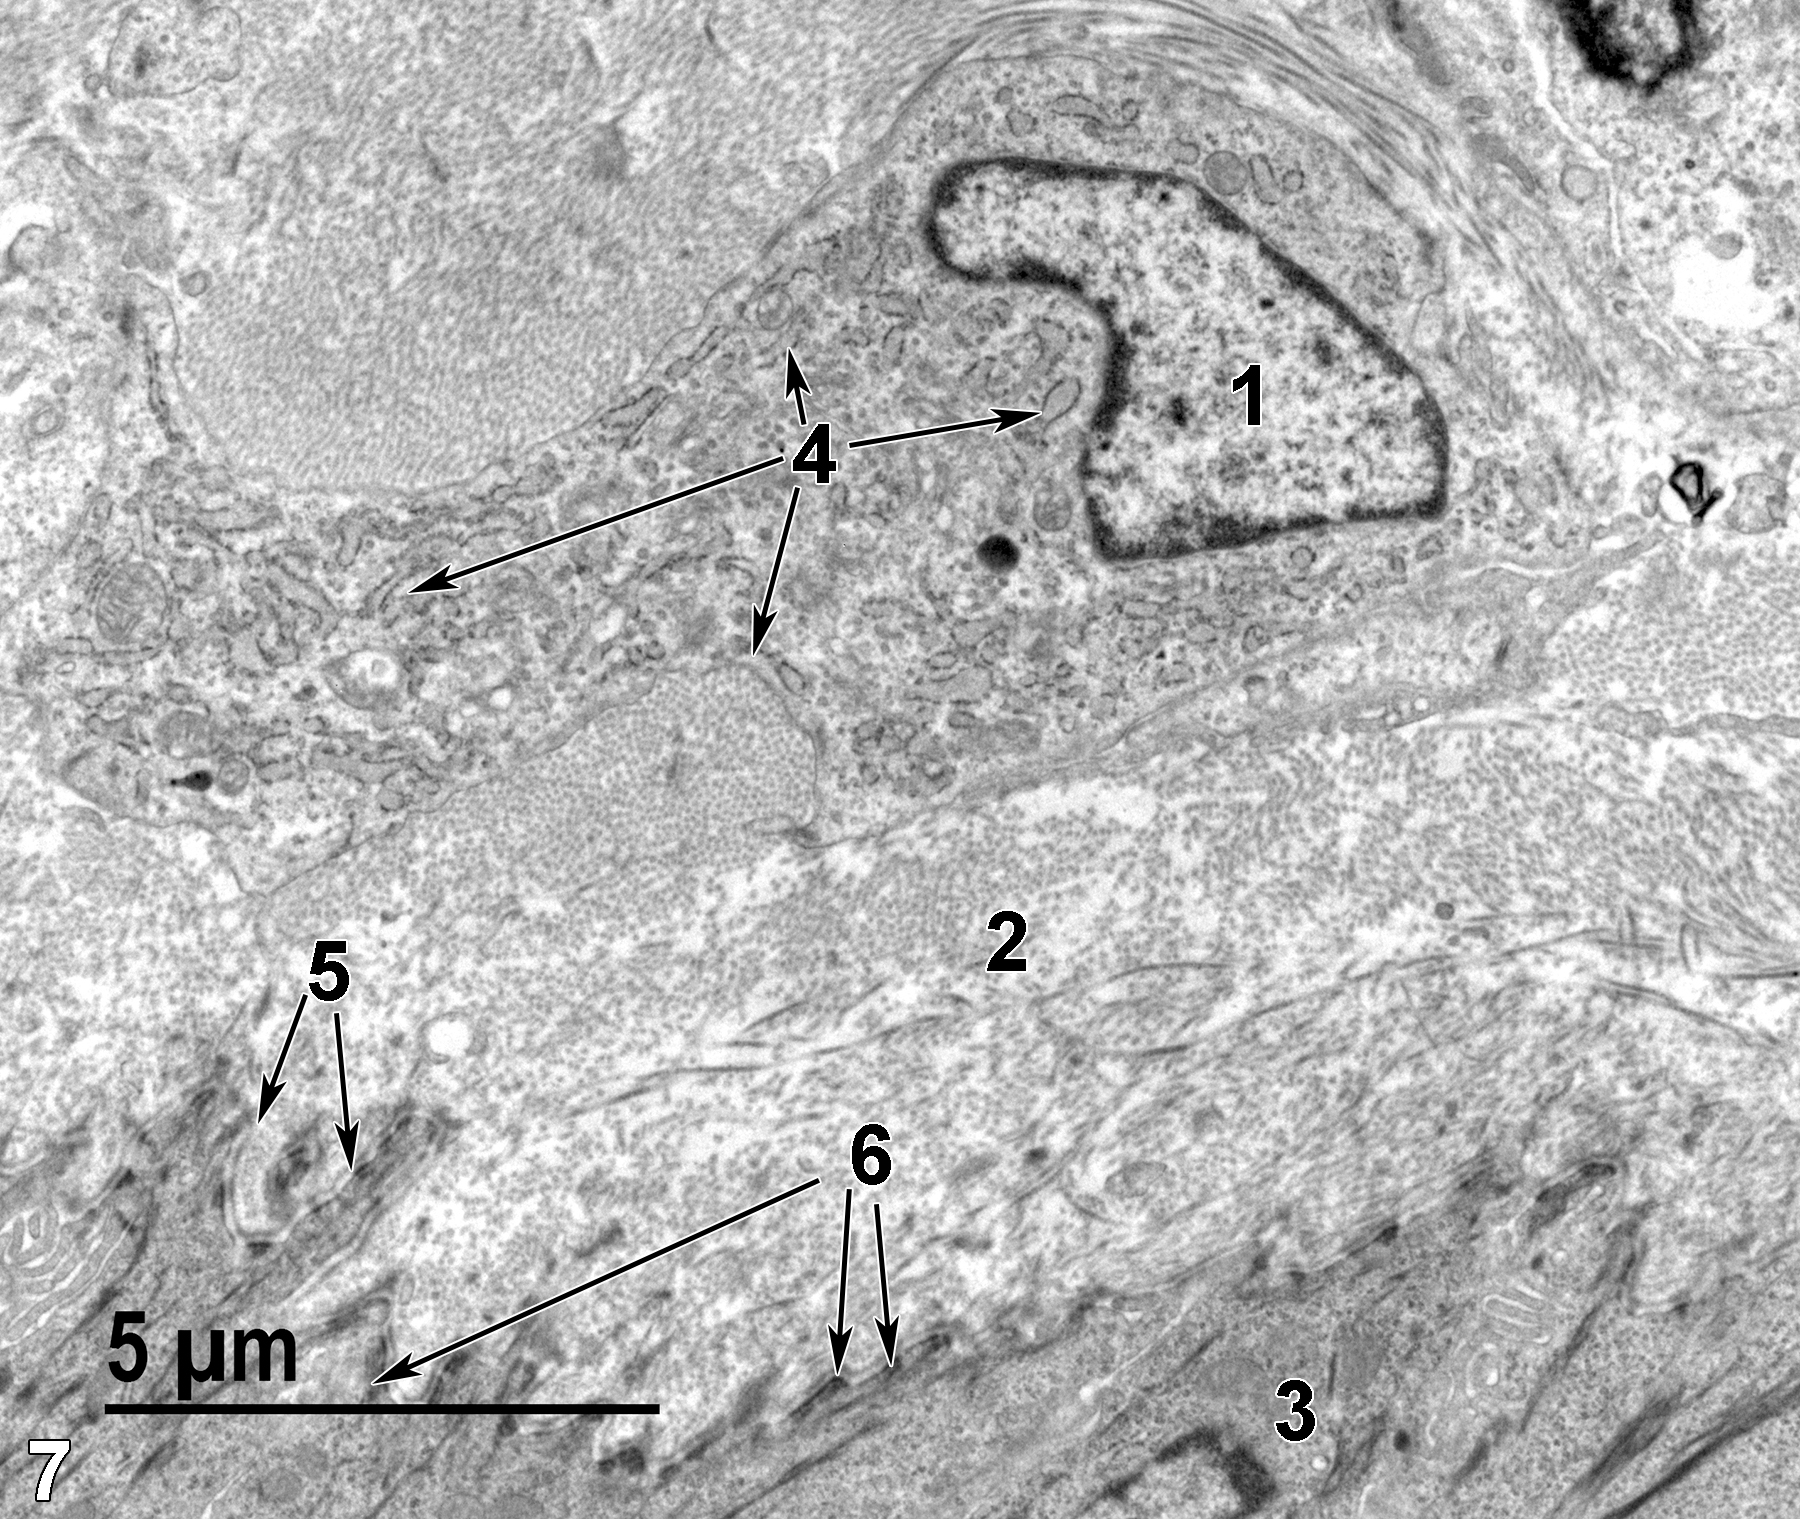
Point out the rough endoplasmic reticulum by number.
Number 4.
